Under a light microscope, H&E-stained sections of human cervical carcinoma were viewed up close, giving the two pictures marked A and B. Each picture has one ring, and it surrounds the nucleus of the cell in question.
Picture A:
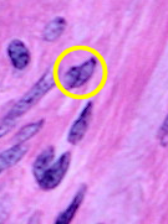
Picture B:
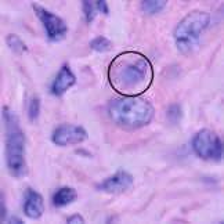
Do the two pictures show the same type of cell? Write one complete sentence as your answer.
Yes, the two pictures both show smooth muscle cells.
